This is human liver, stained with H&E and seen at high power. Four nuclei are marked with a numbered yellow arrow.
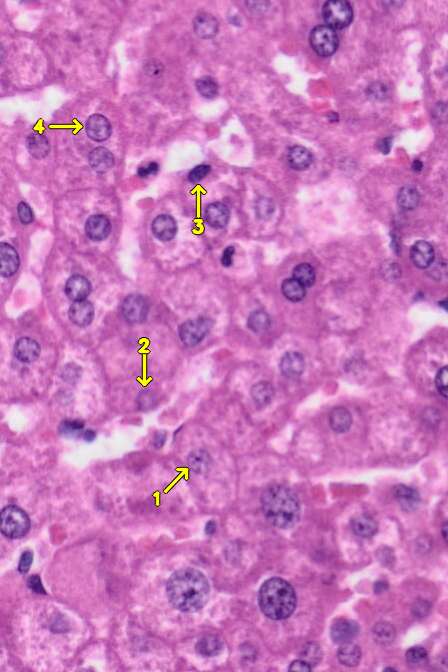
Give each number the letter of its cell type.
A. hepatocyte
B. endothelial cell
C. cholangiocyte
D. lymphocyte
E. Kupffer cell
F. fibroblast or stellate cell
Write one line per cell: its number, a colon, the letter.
1: A
2: A
3: F
4: A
